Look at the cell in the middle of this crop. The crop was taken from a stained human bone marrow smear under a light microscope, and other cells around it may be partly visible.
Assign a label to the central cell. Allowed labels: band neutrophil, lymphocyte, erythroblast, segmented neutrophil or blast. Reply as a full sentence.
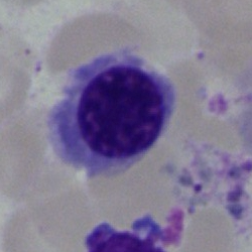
At the crop's centre, the cell is an erythroblast.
